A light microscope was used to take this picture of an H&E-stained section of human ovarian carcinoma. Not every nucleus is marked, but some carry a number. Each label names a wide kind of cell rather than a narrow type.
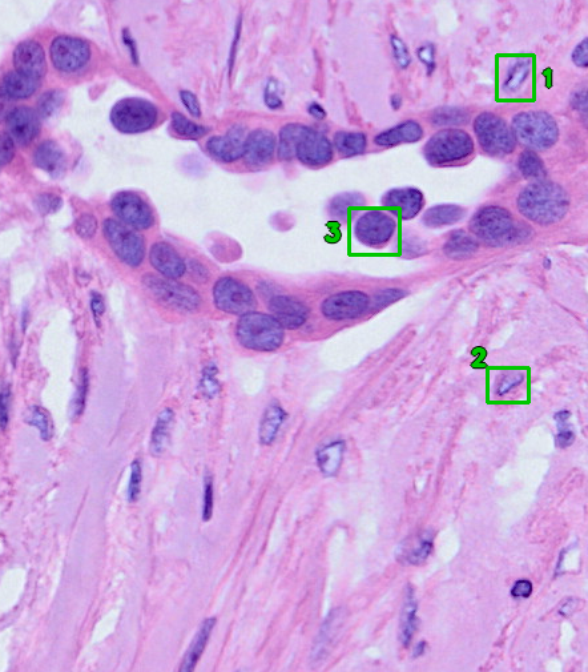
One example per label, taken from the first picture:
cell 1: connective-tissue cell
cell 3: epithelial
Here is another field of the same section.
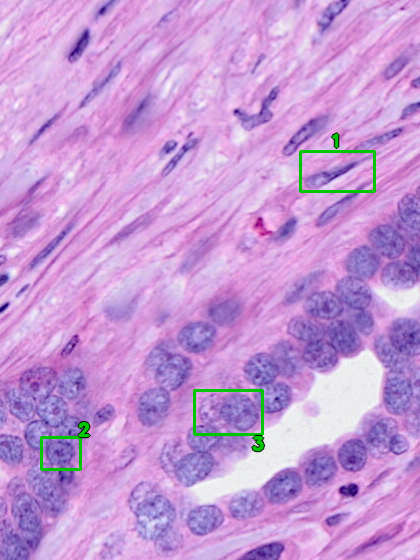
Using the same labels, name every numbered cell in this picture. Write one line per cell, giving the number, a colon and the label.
1: connective-tissue cell
2: epithelial
3: epithelial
